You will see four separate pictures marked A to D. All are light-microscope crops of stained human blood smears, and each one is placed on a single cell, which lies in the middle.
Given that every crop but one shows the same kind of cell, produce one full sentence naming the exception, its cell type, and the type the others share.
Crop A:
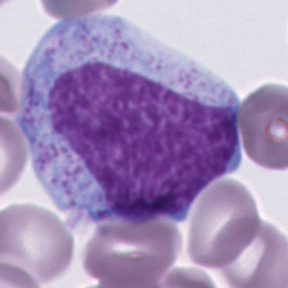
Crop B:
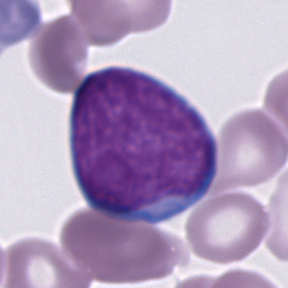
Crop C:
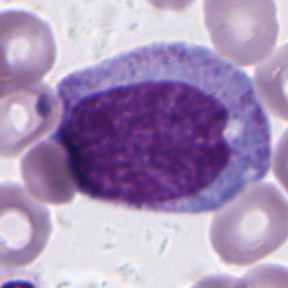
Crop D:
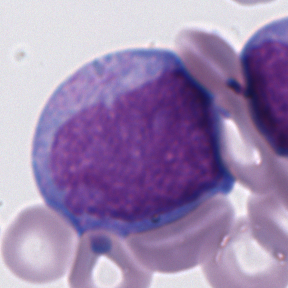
Differing from the rest, crop B shows a blast; the others all show promyelocytes.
